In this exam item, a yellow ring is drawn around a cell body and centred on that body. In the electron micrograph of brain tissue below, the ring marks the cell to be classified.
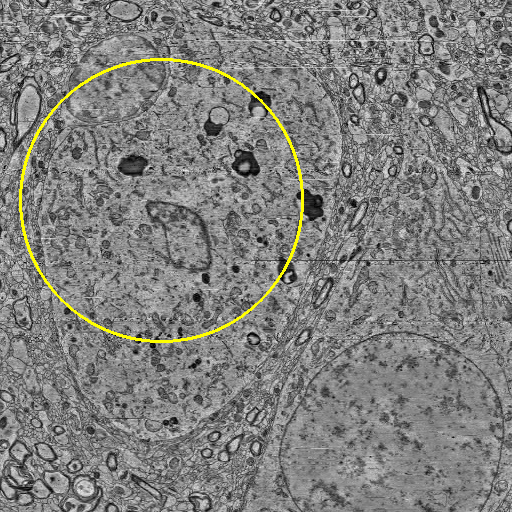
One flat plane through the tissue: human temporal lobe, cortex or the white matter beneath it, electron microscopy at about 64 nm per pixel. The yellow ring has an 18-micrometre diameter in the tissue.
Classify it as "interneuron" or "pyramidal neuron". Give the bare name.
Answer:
pyramidal neuron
